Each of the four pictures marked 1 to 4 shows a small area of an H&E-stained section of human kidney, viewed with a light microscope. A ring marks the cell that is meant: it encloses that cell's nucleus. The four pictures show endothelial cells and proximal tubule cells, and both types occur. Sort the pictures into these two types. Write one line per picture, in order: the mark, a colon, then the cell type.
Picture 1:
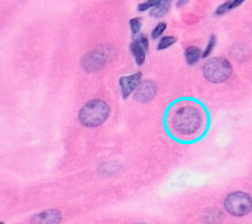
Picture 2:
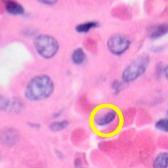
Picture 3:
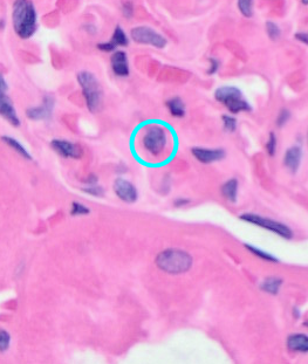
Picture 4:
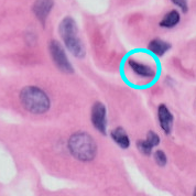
1: proximal tubule cell
2: endothelial cell
3: endothelial cell
4: endothelial cell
